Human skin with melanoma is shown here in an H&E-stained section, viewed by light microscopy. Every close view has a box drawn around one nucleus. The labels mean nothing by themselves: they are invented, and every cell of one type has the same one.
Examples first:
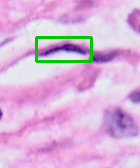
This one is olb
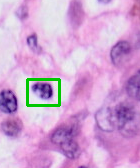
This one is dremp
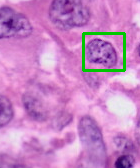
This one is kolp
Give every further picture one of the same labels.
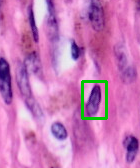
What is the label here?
dremp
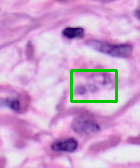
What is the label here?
olb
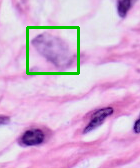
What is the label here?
olb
